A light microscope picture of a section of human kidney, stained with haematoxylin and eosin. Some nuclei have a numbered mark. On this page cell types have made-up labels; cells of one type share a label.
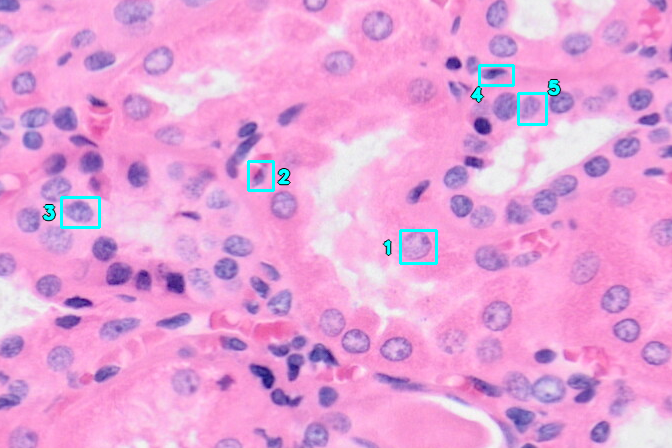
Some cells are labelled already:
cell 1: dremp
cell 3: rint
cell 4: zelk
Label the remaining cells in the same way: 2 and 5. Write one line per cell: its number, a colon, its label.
2: zelk
5: rint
